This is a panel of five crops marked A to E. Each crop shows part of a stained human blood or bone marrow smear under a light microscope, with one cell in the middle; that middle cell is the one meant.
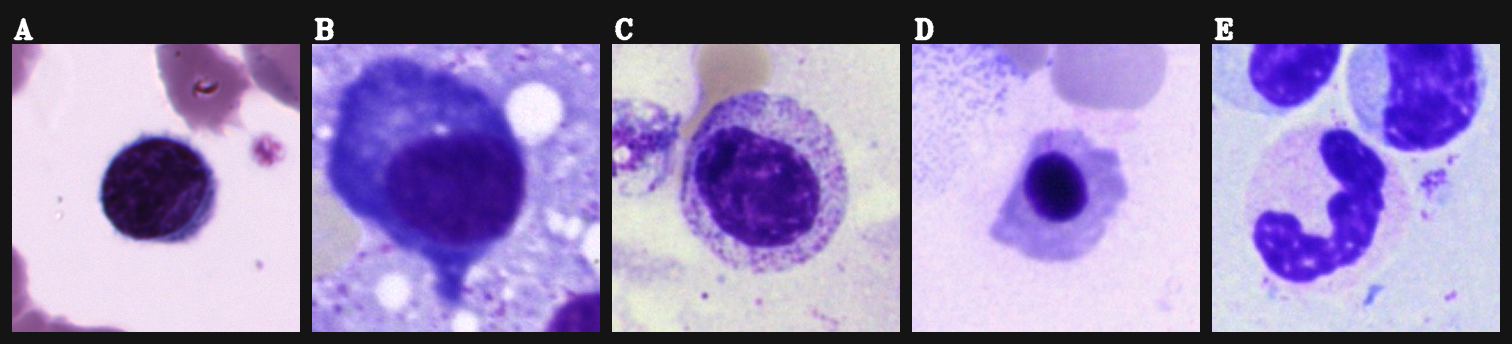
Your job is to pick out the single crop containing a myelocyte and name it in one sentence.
As for which crop shows a myelocyte, it is crop C.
